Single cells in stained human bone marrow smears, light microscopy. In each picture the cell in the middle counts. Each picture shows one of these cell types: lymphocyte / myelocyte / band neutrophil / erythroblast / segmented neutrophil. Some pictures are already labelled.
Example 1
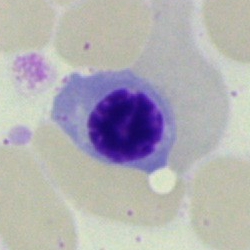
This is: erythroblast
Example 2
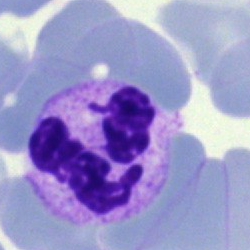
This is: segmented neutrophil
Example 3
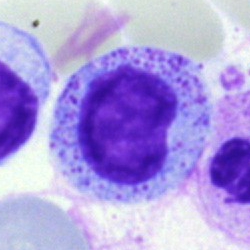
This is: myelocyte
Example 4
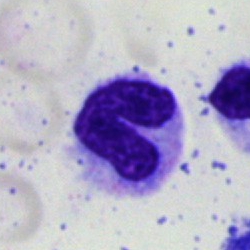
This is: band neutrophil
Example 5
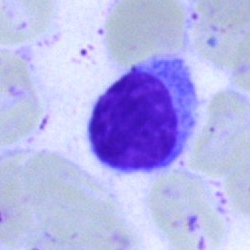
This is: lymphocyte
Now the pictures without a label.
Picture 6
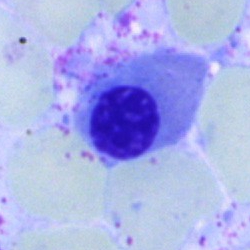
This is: erythroblast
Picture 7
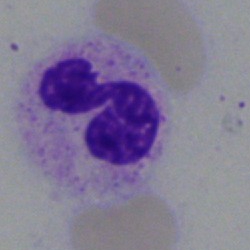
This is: segmented neutrophil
